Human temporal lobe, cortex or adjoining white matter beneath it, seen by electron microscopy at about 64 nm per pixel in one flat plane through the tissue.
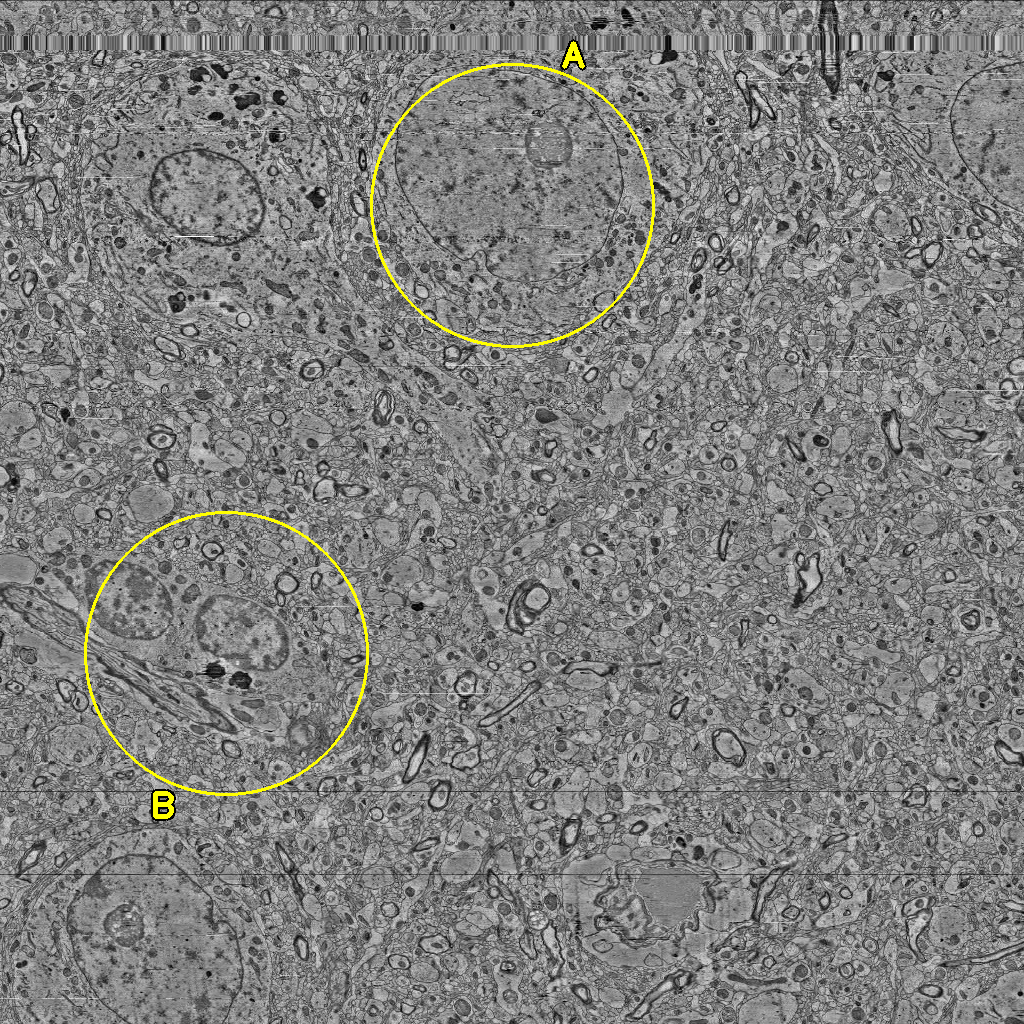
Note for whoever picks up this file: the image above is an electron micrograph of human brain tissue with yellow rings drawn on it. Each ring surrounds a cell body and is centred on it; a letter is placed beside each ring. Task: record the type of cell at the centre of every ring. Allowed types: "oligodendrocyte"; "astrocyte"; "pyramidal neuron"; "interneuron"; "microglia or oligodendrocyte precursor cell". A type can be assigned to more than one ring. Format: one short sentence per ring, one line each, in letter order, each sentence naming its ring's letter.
The ring marked A is centred on a pyramidal neuron.
The ring marked B is centred on an oligodendrocyte.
